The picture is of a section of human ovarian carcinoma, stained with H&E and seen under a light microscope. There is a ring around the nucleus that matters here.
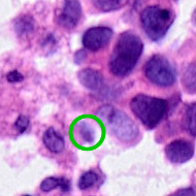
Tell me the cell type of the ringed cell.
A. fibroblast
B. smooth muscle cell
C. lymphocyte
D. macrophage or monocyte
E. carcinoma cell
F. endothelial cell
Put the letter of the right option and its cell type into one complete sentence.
Option D is correct; the ringed cell is a macrophage or monocyte.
